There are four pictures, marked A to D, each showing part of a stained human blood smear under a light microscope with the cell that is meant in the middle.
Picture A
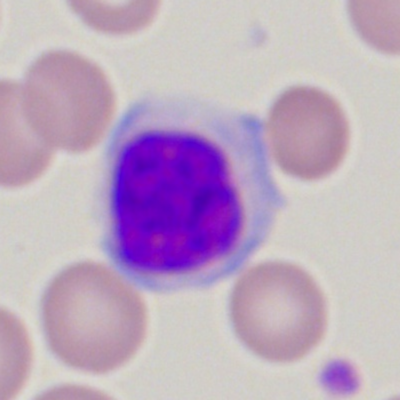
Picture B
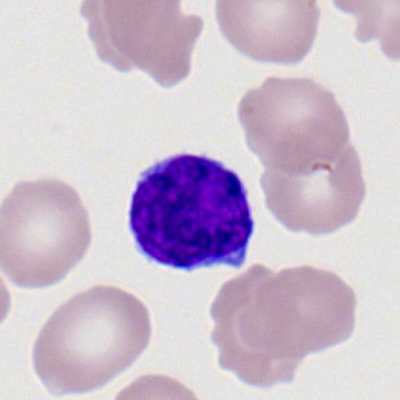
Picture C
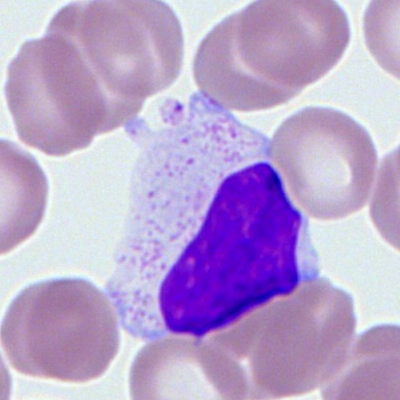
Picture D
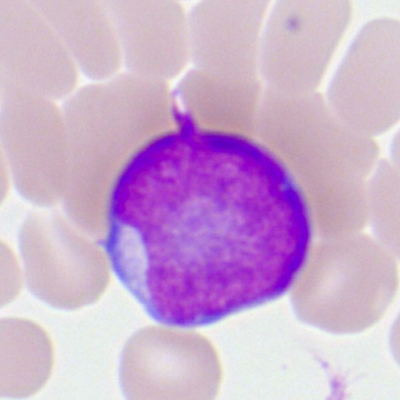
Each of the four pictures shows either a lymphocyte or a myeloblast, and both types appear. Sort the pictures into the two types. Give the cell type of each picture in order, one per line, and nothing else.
lymphocyte
lymphocyte
lymphocyte
myeloblast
